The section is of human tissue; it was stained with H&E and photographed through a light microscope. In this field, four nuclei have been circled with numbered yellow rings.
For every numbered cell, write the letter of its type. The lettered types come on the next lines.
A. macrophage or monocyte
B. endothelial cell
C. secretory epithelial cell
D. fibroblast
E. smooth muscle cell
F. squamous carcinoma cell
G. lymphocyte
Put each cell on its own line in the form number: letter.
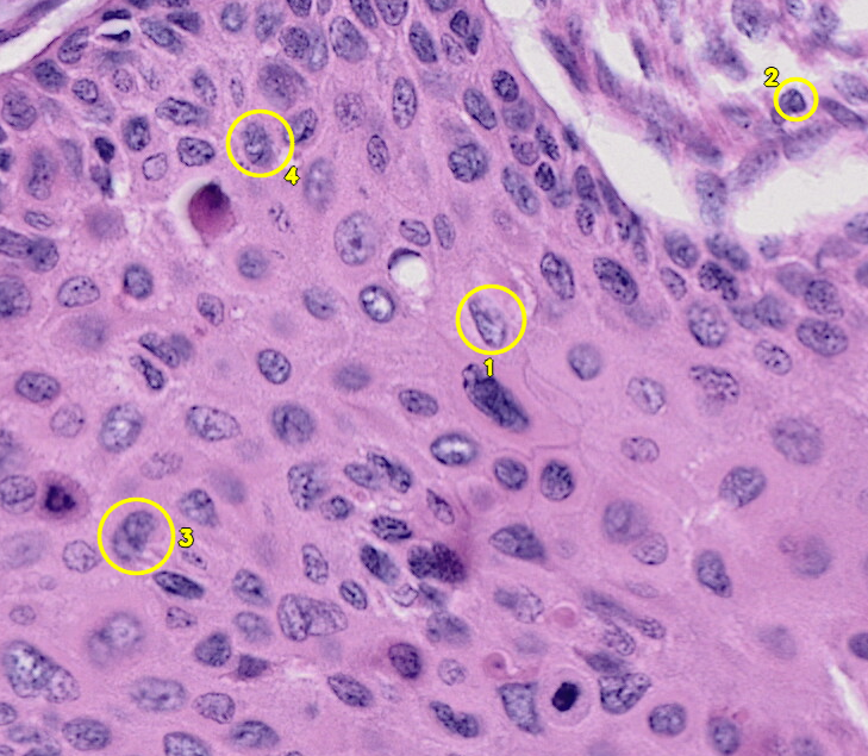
1: F
2: G
3: F
4: F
